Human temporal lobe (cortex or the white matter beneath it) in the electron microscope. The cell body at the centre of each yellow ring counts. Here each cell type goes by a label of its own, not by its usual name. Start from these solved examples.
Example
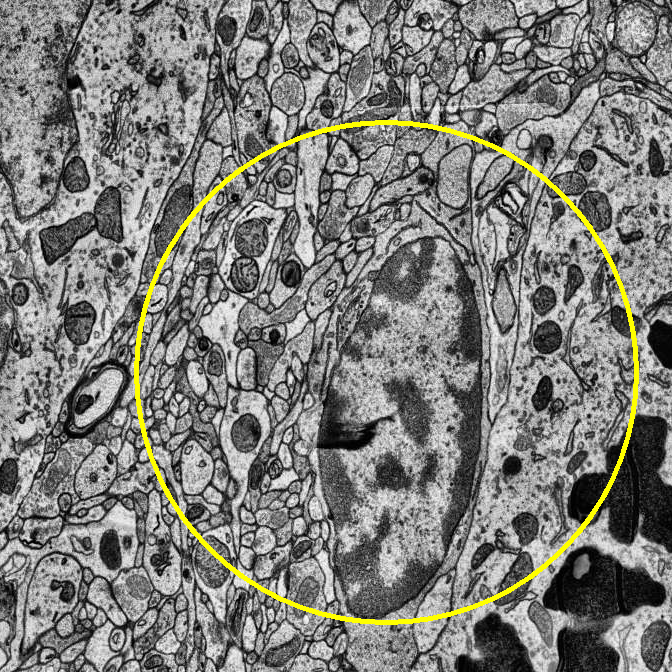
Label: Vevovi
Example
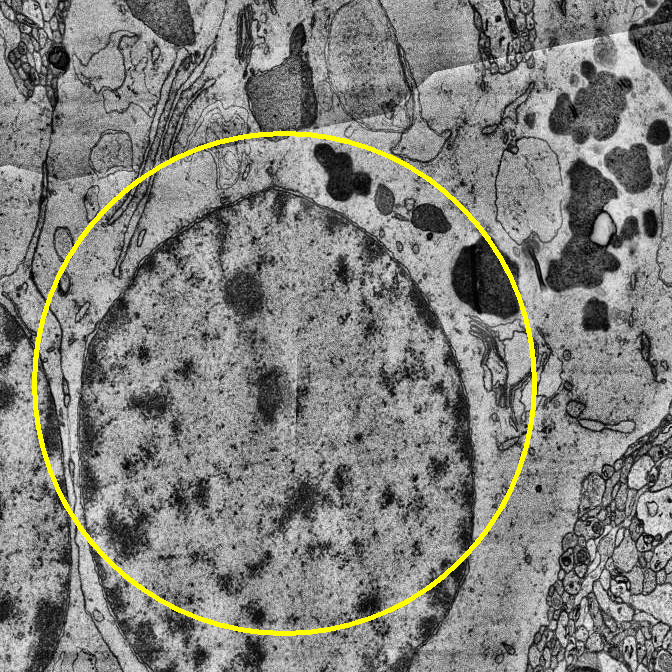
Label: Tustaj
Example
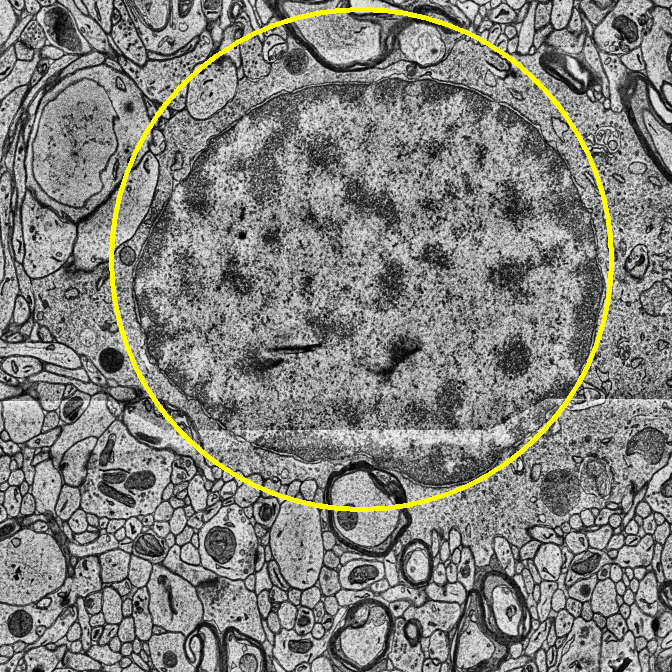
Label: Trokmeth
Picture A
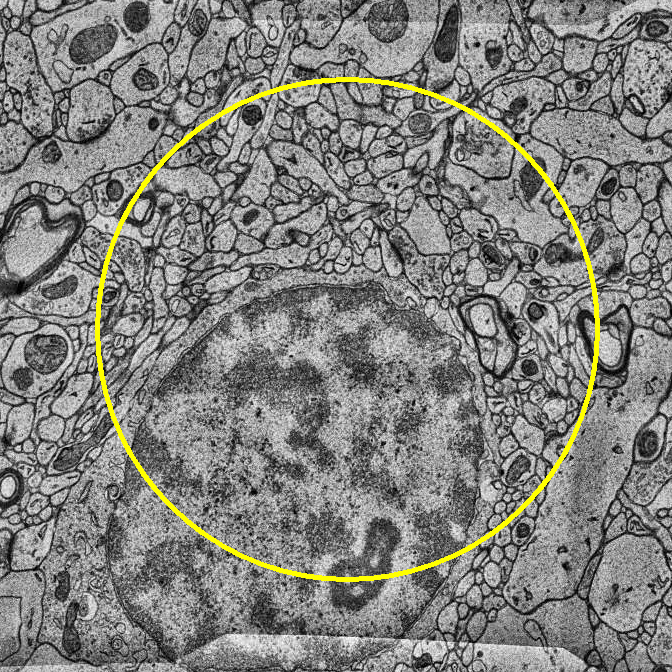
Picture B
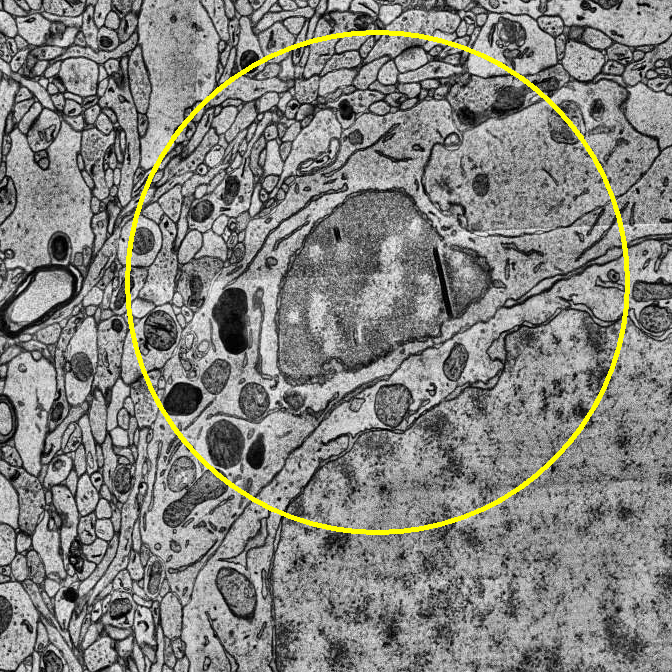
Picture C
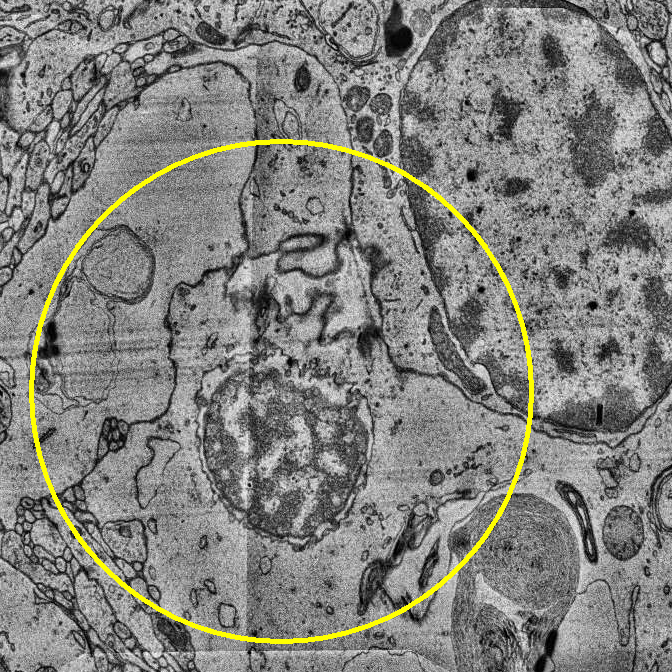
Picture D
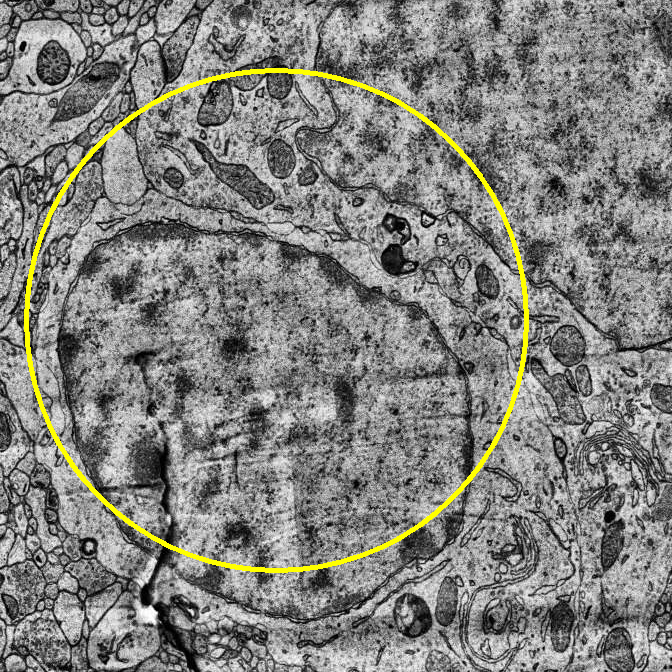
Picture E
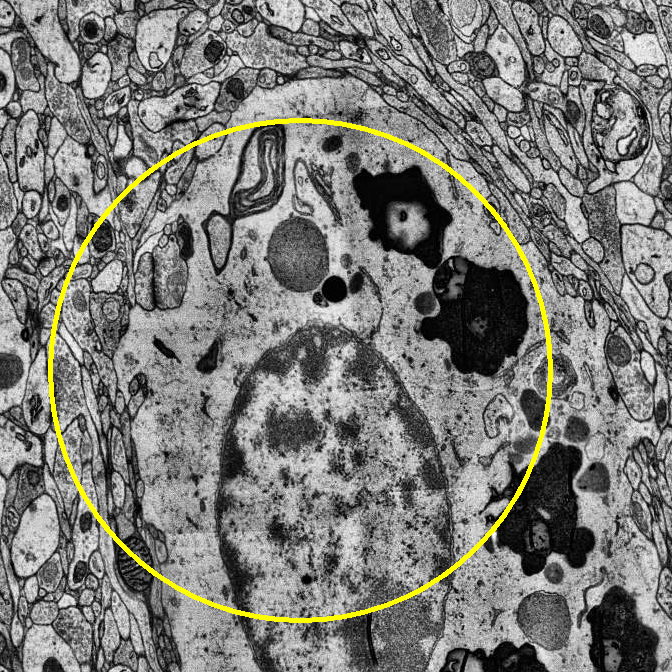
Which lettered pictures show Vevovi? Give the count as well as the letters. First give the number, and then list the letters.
2, namely B, D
